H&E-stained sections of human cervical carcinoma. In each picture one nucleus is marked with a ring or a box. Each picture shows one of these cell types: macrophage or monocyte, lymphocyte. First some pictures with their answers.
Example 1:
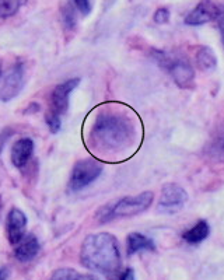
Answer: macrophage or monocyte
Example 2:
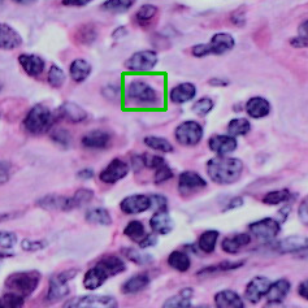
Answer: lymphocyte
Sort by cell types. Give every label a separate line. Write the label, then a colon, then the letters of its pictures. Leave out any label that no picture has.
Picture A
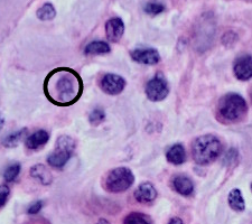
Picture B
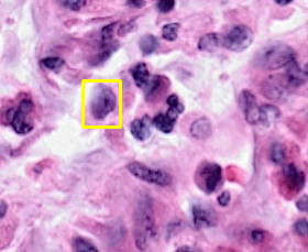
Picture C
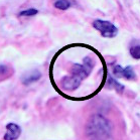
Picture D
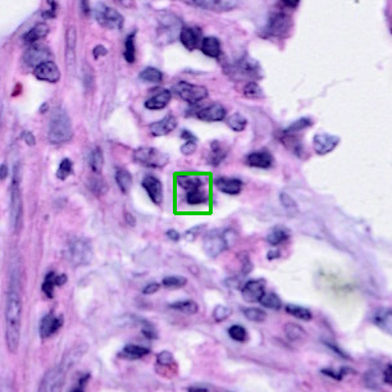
macrophage or monocyte: A, B, C
lymphocyte: D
